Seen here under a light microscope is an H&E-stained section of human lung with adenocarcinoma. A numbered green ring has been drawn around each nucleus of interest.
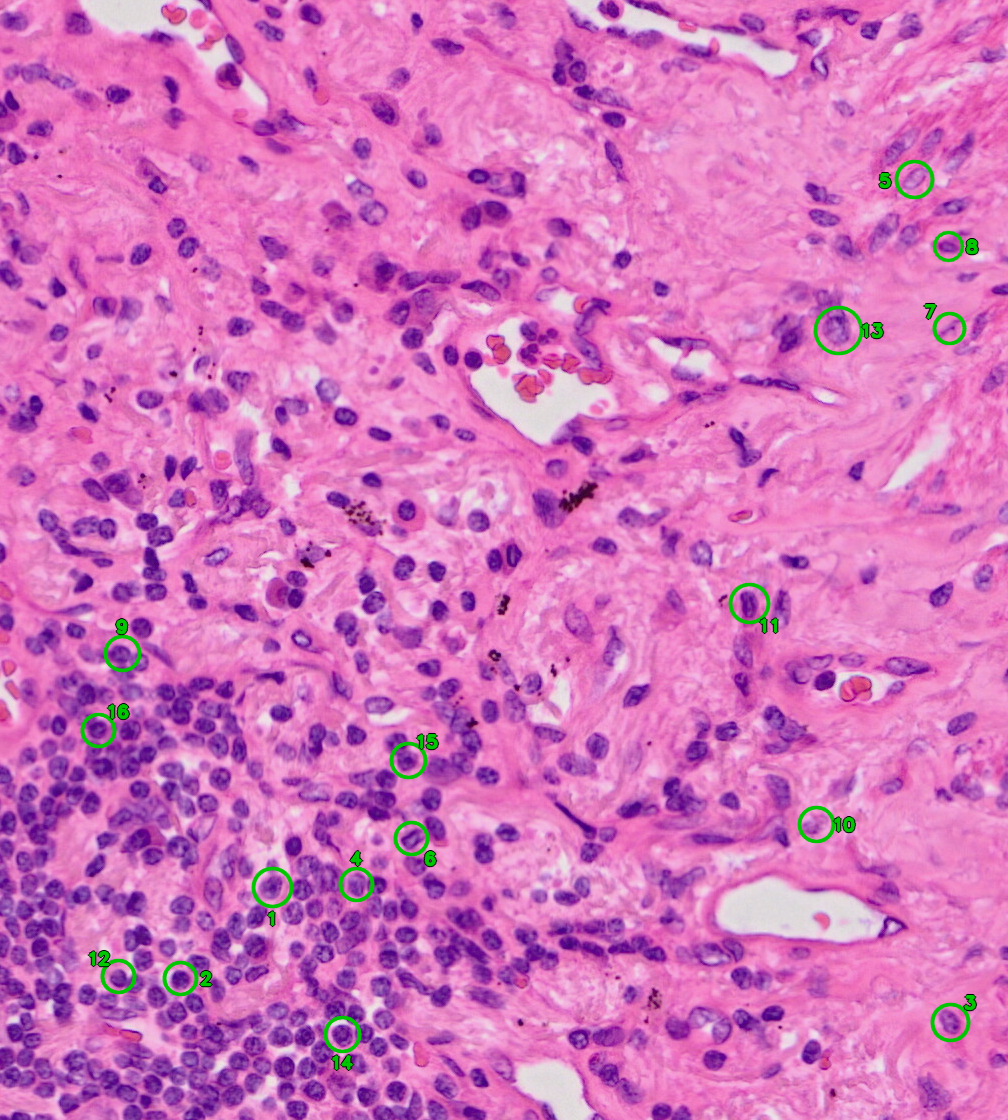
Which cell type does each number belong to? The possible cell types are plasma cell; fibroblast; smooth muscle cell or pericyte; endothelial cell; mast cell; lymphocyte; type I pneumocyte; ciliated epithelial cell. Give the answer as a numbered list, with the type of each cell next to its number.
1. lymphocyte
2. lymphocyte
3. mast cell
4. lymphocyte
5. smooth muscle cell or pericyte
6. lymphocyte
7. fibroblast
8. mast cell
9. lymphocyte
10. fibroblast
11. plasma cell
12. lymphocyte
13. fibroblast
14. lymphocyte
15. lymphocyte
16. lymphocyte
